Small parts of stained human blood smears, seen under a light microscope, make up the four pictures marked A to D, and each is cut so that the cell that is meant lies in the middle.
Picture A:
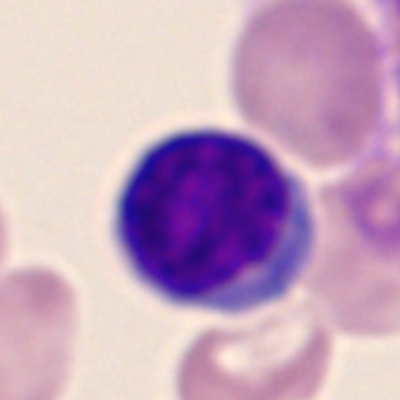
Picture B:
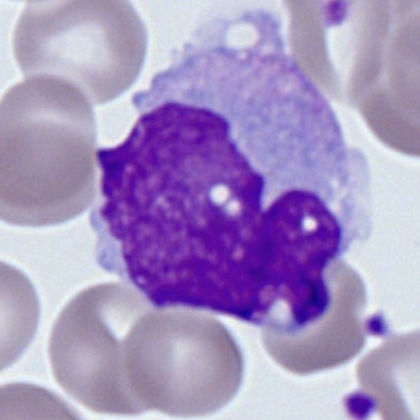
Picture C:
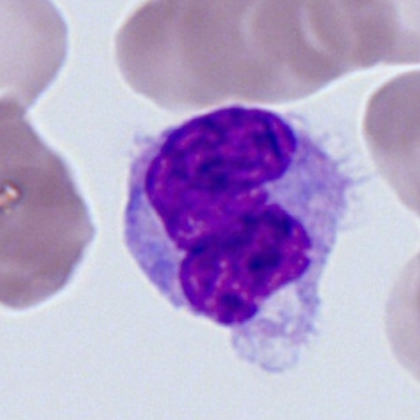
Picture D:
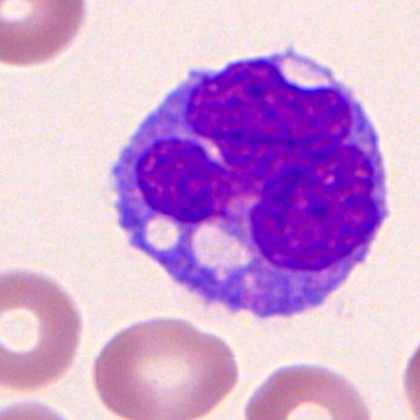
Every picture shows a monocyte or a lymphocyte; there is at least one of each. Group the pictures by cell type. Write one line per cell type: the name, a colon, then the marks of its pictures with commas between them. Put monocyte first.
monocyte: B, C, D
lymphocyte: A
